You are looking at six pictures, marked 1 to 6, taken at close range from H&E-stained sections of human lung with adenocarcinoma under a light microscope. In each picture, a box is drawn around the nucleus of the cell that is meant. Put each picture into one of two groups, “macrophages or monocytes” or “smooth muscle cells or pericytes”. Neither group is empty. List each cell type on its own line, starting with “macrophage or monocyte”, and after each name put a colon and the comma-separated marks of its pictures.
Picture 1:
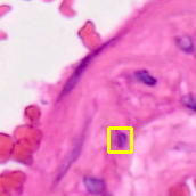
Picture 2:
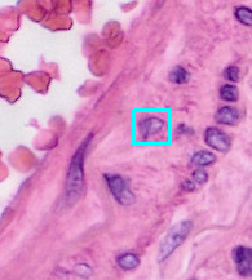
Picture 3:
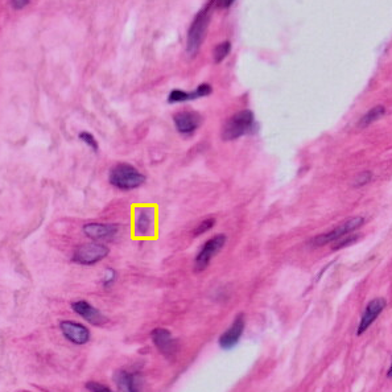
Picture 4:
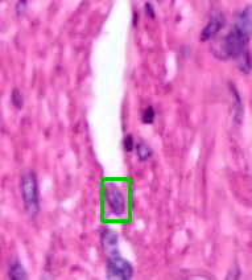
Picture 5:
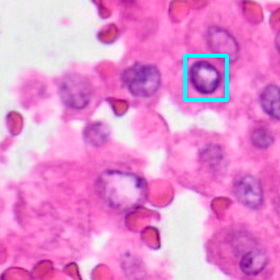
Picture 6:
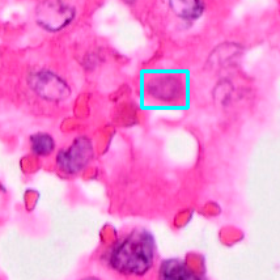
macrophage or monocyte: 5, 6
smooth muscle cell or pericyte: 1, 2, 3, 4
